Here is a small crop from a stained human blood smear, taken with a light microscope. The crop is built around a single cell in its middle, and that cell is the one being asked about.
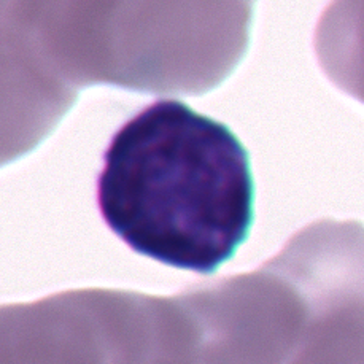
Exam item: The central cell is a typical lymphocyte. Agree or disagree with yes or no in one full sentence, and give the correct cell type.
Yes, centred in the crop is a typical lymphocyte.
